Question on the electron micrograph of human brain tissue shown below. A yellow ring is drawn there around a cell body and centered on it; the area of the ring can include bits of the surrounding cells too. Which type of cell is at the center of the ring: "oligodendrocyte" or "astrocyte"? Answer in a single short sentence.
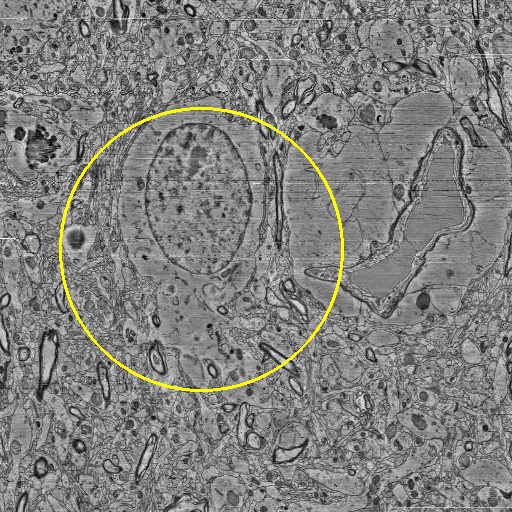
The ring is centered on an astrocyte.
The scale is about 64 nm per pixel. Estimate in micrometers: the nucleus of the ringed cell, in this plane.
The nucleus measures about 10 by 7 micrometres in this plane.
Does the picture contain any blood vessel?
Yes.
